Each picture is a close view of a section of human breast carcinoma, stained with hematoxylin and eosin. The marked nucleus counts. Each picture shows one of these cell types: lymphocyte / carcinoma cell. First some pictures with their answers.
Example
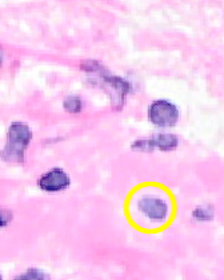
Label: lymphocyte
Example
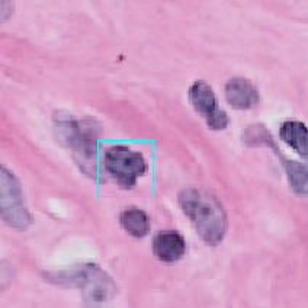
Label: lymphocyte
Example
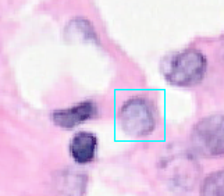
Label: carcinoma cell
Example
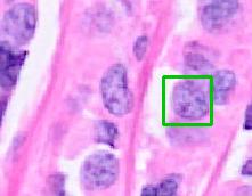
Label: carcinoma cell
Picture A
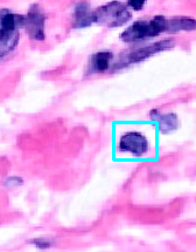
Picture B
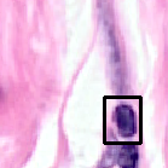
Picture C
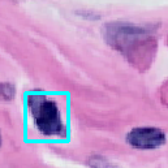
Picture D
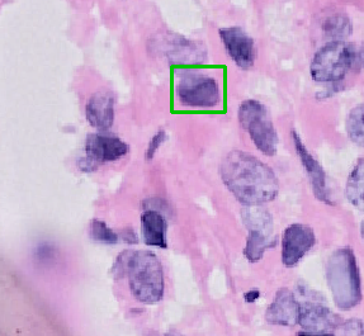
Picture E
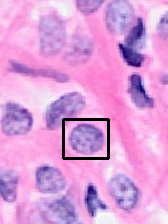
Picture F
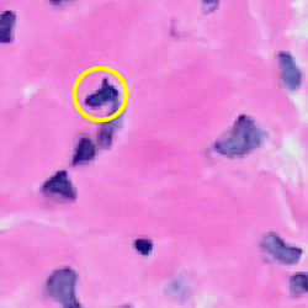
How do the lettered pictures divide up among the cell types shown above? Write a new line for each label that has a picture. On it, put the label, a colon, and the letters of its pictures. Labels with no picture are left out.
lymphocyte: A, B, C, F
carcinoma cell: D, E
